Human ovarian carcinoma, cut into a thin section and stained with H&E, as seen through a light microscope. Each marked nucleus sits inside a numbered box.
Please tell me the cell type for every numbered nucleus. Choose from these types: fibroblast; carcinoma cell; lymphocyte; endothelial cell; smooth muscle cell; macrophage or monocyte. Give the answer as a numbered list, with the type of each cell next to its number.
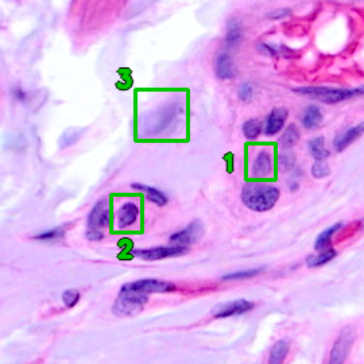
1. endothelial cell
2. endothelial cell
3. fibroblast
